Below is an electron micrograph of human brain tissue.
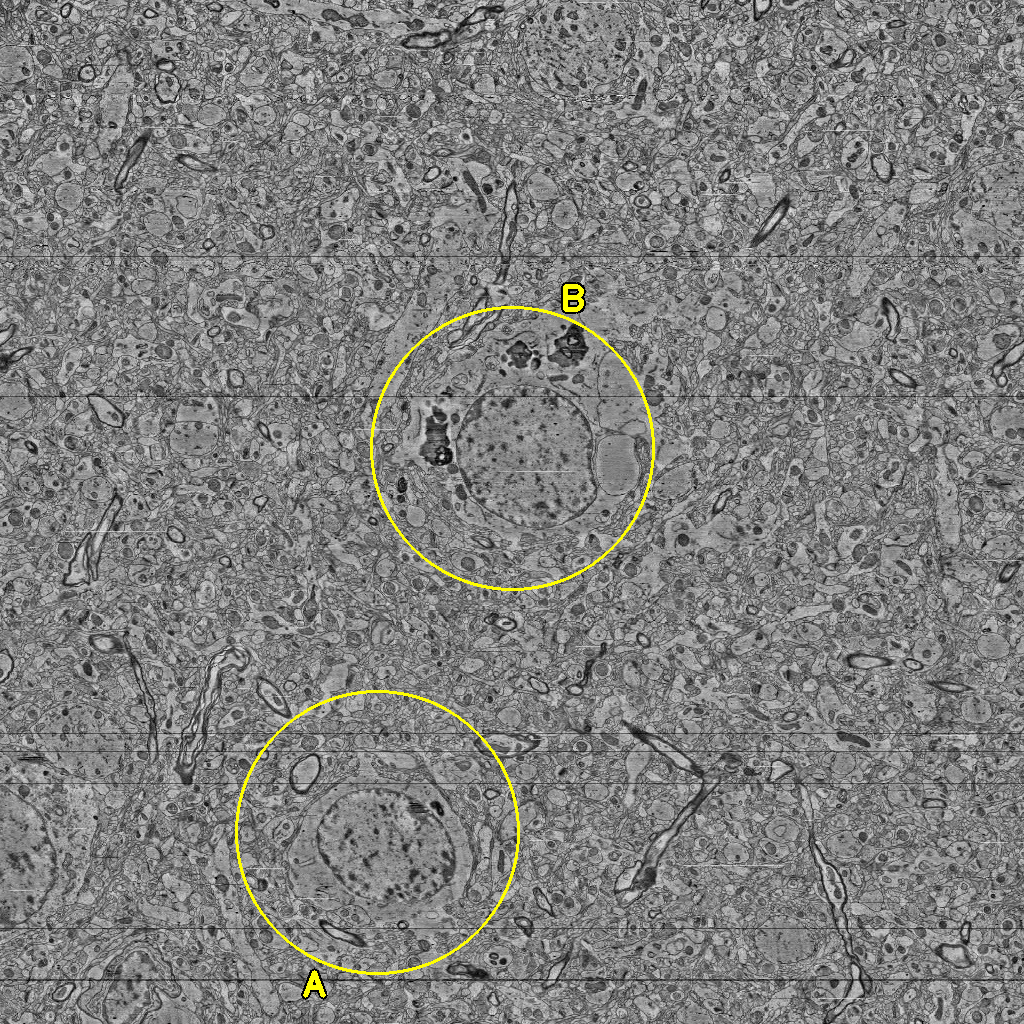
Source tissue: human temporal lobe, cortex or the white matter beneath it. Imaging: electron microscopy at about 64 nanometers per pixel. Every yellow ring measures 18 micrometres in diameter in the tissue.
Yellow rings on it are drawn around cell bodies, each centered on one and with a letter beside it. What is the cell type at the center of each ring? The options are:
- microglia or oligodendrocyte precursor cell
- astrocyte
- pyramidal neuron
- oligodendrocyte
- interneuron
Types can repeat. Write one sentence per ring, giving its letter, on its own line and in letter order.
At the center of ring A is an astrocyte.
At the center of ring B is an astrocyte.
